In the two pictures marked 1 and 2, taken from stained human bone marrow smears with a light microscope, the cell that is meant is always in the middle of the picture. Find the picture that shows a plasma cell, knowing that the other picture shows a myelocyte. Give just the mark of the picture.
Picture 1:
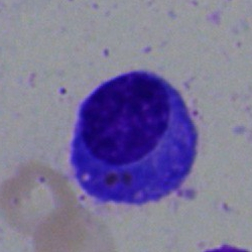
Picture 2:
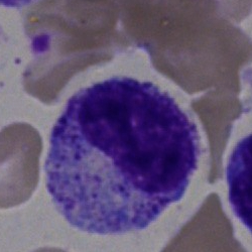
1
